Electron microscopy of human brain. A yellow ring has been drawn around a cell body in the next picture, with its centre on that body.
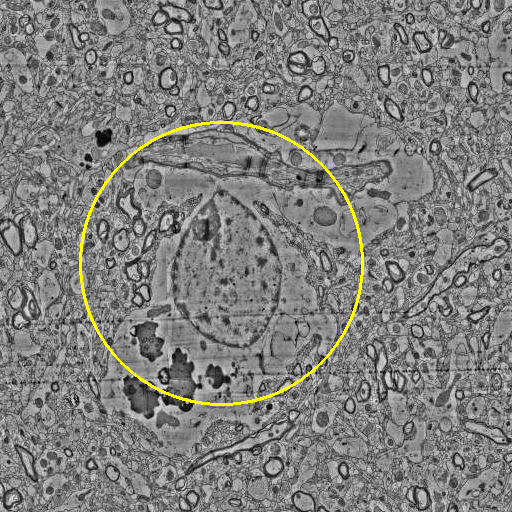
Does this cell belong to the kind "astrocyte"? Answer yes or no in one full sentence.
Yes, the ringed cell in this picture, sitting at the ring's centre, is of that kind.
